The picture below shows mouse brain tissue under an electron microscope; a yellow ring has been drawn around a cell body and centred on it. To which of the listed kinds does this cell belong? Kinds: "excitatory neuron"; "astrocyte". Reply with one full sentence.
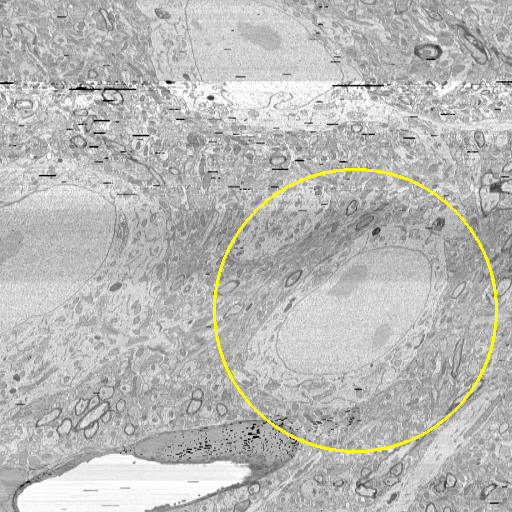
It is an excitatory neuron that the yellow ring in the picture is centred on.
